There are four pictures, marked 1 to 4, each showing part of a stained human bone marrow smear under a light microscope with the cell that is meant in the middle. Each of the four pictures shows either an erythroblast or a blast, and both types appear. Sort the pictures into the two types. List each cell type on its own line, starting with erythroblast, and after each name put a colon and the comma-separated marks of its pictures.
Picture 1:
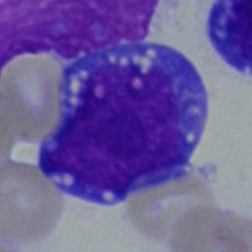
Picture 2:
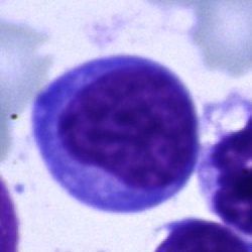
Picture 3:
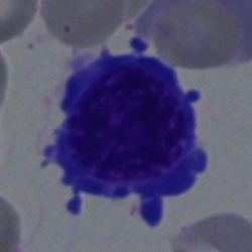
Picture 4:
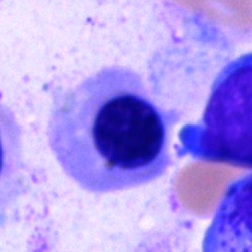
erythroblast: 3, 4
blast: 1, 2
